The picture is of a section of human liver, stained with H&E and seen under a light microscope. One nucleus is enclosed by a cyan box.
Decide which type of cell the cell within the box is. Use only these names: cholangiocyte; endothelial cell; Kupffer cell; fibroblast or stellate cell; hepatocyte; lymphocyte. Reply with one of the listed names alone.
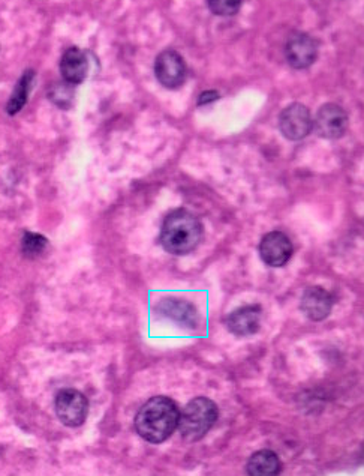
Kupffer cell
